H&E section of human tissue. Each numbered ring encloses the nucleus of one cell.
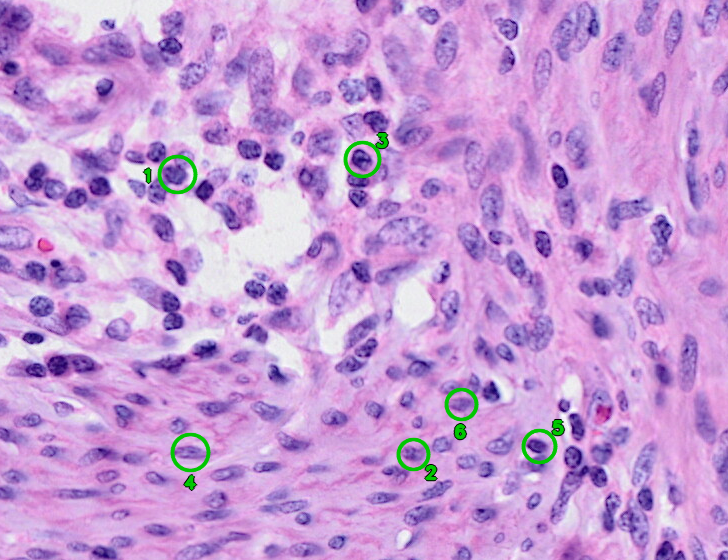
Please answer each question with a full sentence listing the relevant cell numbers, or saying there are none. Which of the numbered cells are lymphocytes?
In terms of cell type, cells 1, 3 and 5 are lymphocytes.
